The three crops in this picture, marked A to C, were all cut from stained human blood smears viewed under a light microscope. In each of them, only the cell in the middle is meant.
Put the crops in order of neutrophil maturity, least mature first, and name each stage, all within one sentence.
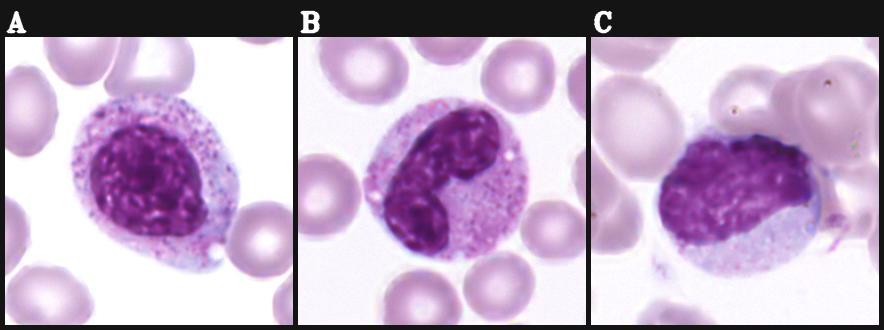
The maturity ranking, lowest to highest, is crop A (a myelocyte), crop C (a metamyelocyte) and crop B (a band neutrophil).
